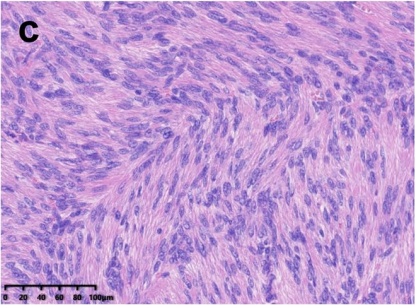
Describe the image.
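This is a tumor made of spindle-shaped cells arranged in interlacing bundles that sweep in different directions. The cells have elongated, blunt-ended nuclei that are fairly uniform, and pink fibrillary cytoplasm, so the tumor looks well differentiated with only mild atypia.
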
